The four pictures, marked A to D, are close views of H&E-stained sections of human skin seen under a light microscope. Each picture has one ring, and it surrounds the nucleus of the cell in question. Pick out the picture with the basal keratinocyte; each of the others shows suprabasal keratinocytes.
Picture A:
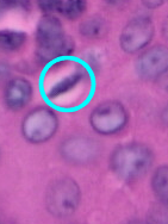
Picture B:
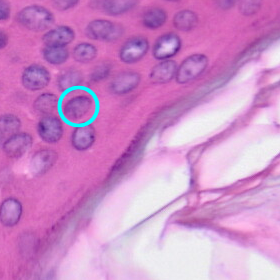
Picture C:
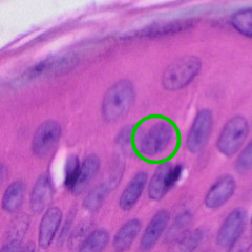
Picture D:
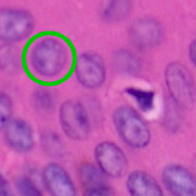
A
